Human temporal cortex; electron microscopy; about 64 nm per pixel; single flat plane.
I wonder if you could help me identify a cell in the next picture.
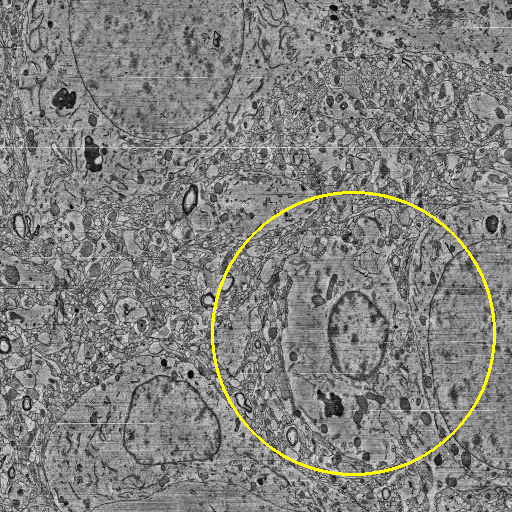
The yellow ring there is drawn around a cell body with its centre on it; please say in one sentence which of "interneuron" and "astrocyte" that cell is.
The yellow ring is centred on an astrocyte.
